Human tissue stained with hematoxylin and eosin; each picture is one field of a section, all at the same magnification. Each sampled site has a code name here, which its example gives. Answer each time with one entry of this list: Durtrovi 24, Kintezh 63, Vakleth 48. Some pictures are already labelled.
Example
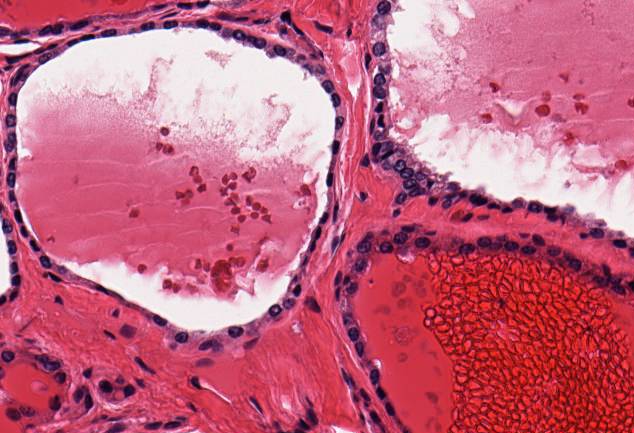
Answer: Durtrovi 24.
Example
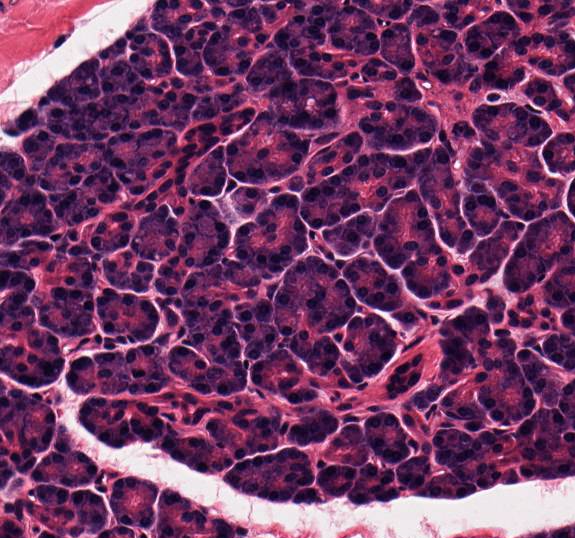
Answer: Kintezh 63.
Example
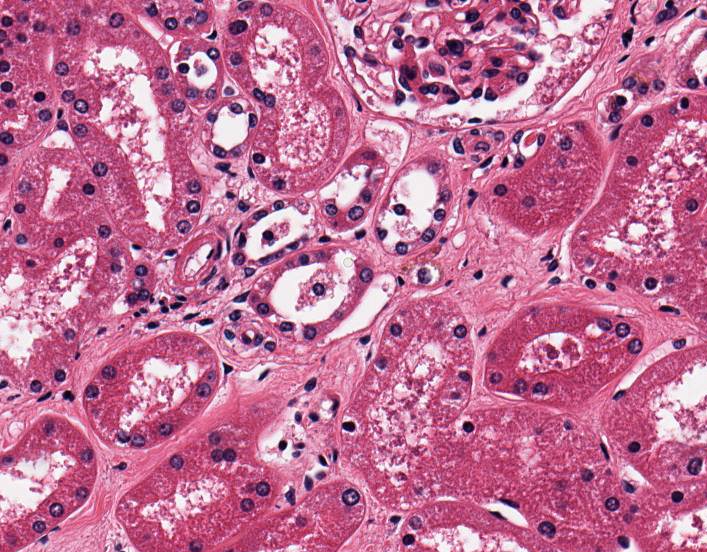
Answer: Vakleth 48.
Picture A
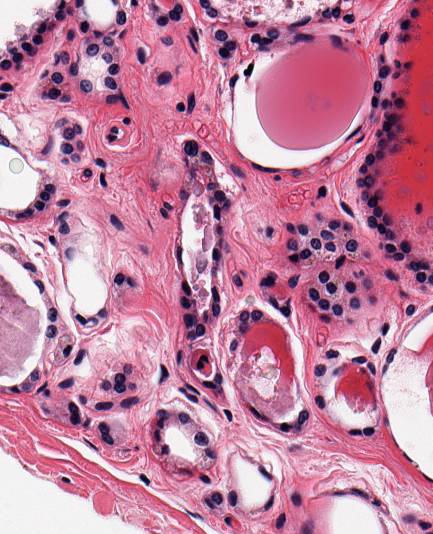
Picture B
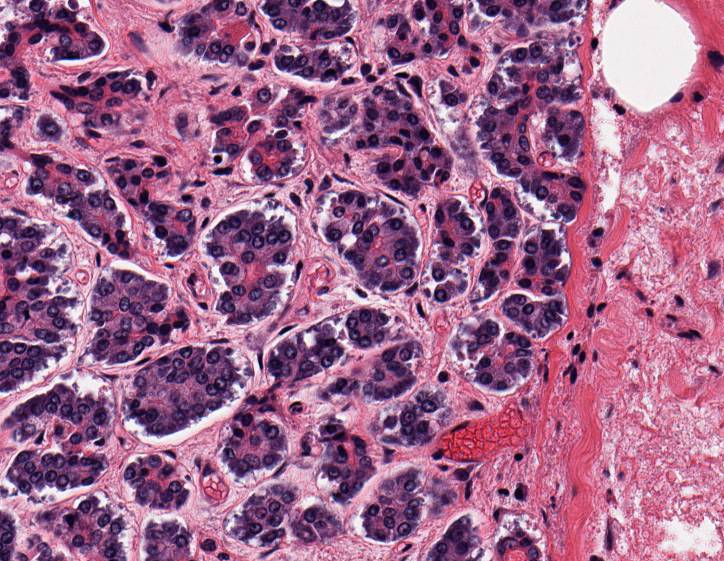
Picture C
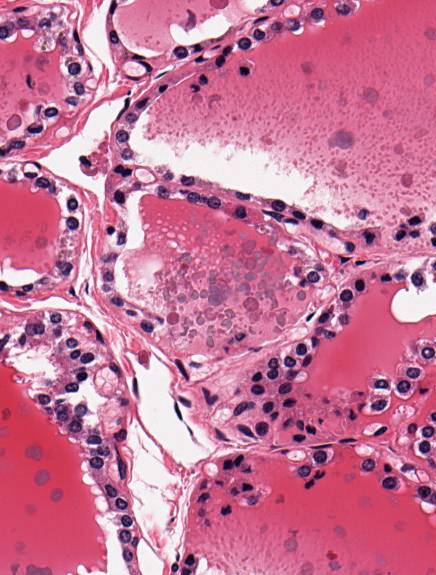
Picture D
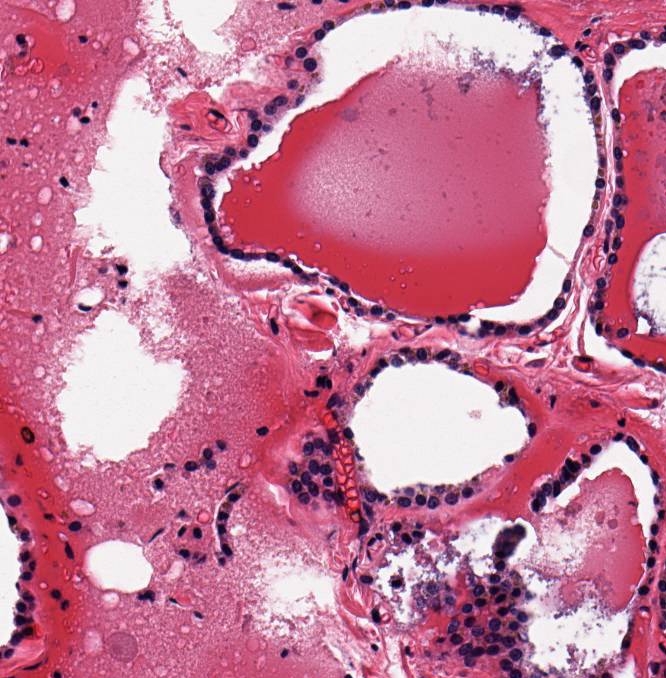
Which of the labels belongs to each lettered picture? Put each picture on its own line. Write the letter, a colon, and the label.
A: Durtrovi 24.
B: Kintezh 63.
C: Durtrovi 24.
D: Durtrovi 24.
